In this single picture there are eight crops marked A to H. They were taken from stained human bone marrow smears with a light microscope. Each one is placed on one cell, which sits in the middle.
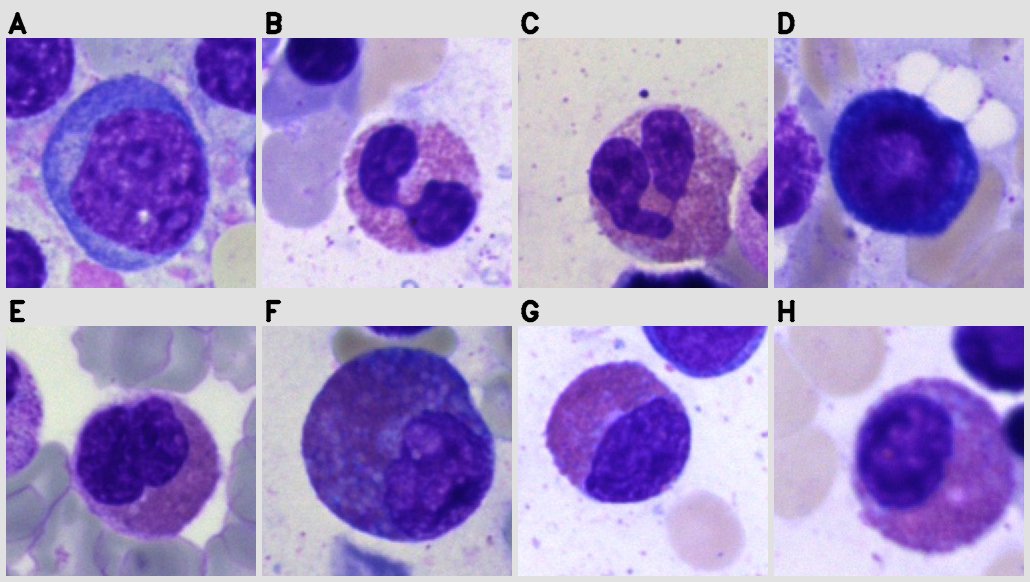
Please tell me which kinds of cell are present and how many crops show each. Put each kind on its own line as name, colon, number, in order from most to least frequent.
eosinophil: 6
proerythroblast: 2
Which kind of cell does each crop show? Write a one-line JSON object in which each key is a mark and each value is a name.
{"A": "proerythroblast", "B": "eosinophil", "C": "eosinophil", "D": "proerythroblast", "E": "eosinophil", "F": "eosinophil", "G": "eosinophil", "H": "eosinophil"}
